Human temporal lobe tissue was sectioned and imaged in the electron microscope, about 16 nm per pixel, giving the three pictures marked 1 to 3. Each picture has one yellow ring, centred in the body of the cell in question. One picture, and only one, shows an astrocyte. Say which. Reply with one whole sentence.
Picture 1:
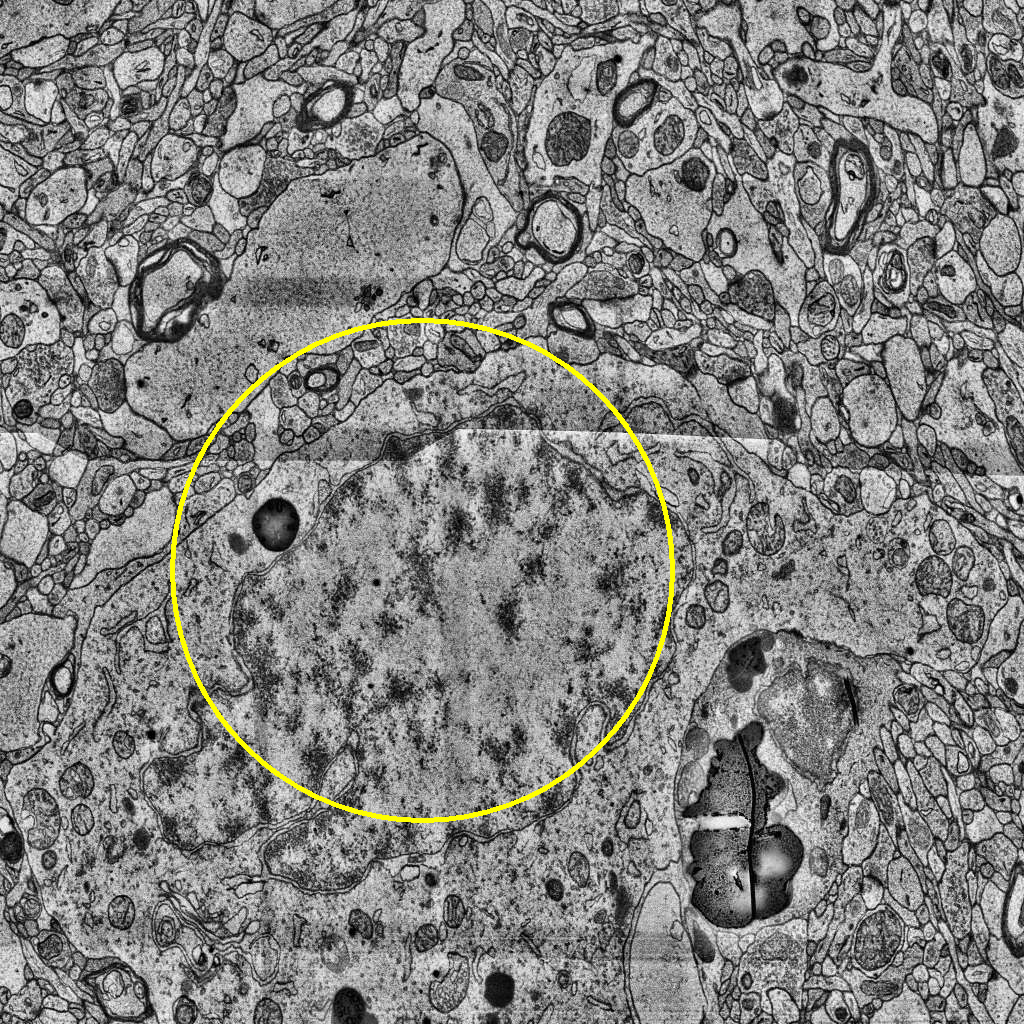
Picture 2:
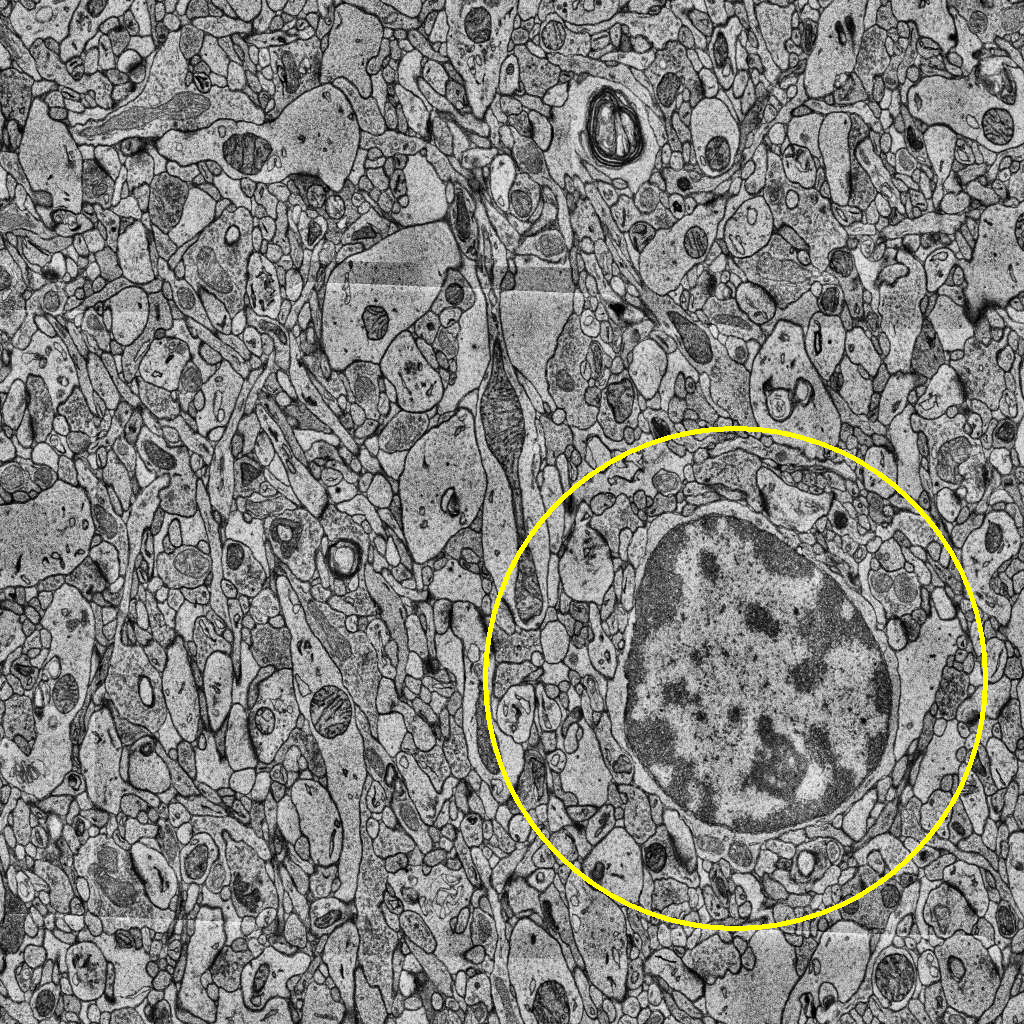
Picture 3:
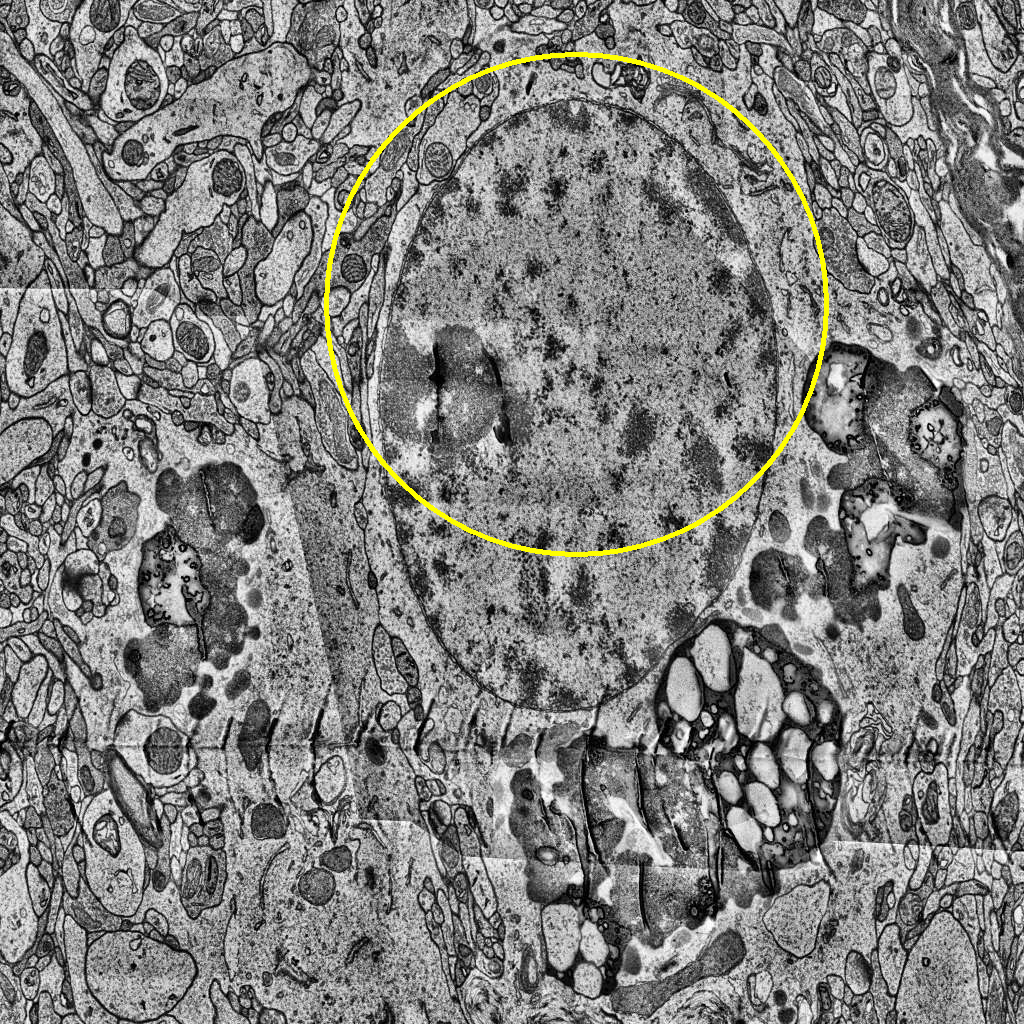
Picture 3 is the one that shows the astrocyte.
